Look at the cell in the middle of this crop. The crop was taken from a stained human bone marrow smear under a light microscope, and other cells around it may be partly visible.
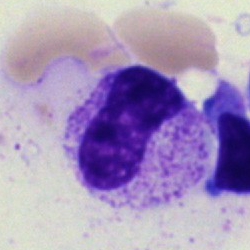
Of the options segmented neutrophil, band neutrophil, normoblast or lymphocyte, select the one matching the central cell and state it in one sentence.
What sits at the centre of this crop is a band neutrophil.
